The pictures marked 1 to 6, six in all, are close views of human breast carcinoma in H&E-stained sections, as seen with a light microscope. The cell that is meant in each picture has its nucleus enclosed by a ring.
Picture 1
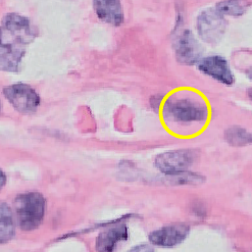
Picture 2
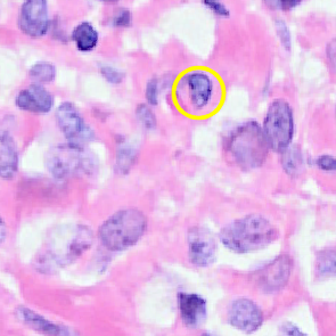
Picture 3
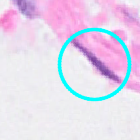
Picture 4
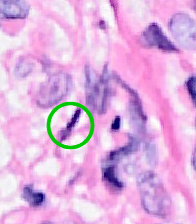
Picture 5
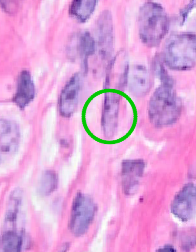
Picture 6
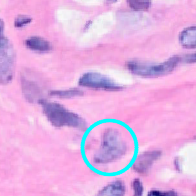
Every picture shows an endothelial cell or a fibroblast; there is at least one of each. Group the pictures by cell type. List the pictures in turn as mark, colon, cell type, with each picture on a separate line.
1: endothelial cell
2: endothelial cell
3: fibroblast
4: fibroblast
5: endothelial cell
6: endothelial cell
